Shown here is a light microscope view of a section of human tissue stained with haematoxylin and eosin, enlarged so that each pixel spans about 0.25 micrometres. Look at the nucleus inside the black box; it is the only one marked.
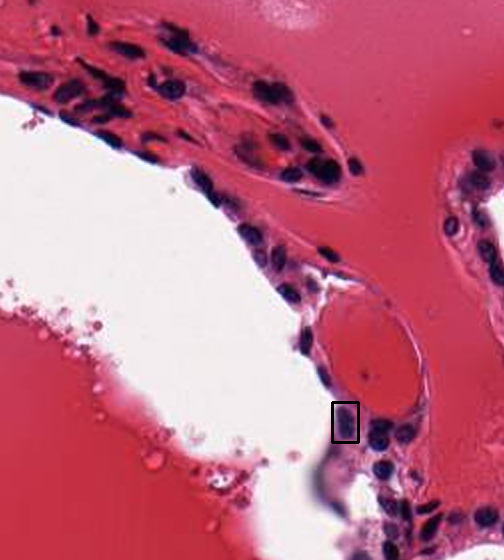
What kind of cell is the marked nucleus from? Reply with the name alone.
thyroid follicular cell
